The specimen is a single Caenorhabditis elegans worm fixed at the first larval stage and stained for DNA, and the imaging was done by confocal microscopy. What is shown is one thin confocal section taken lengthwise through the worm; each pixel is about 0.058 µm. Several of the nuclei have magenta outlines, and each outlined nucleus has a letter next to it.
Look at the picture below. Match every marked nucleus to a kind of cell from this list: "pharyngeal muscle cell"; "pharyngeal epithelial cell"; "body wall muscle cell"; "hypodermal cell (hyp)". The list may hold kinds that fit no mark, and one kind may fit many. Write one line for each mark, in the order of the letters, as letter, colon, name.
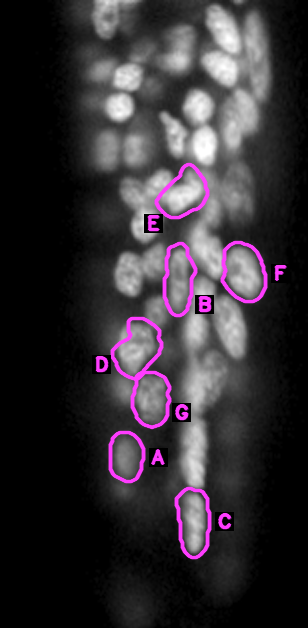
A: hypodermal cell (hyp)
B: pharyngeal muscle cell
C: pharyngeal epithelial cell
D: body wall muscle cell
E: pharyngeal muscle cell
F: body wall muscle cell
G: body wall muscle cell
